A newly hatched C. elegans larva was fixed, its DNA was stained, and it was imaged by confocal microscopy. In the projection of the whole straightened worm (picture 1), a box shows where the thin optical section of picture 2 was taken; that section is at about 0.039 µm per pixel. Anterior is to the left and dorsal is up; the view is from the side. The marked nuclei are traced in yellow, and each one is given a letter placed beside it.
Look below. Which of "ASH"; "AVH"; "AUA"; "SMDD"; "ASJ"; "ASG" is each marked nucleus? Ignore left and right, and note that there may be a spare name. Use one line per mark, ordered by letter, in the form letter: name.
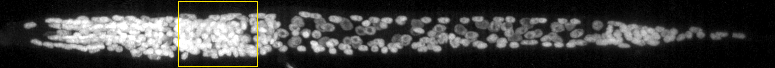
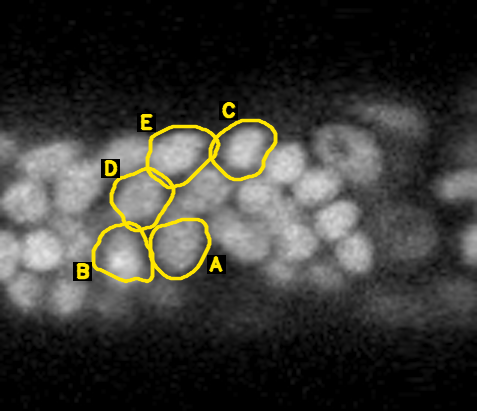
A: ASJ
B: AUA
C: AVH
D: ASH
E: ASG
